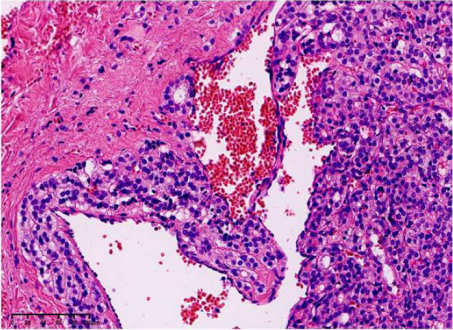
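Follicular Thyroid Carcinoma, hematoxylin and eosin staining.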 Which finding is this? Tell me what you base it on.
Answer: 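A large open vessel-like space contains red blood cells. A cluster of tumour cells projects into the lumen of the space, covered by a thin lining. Dense sheets of small cells with dark nuclei surround the space. The answer: vascular invasion.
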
